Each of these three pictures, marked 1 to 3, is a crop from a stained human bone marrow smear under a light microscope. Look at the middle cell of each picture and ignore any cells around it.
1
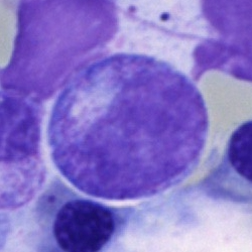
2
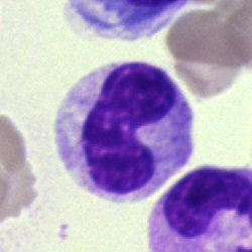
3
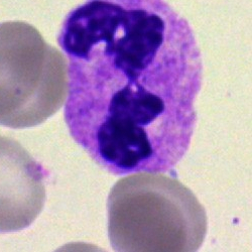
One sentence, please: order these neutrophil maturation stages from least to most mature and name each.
Ordered by maturity, from least to most, the crops are crop 1 (a promyelocyte), crop 2 (a band neutrophil) and crop 3 (a segmented neutrophil).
